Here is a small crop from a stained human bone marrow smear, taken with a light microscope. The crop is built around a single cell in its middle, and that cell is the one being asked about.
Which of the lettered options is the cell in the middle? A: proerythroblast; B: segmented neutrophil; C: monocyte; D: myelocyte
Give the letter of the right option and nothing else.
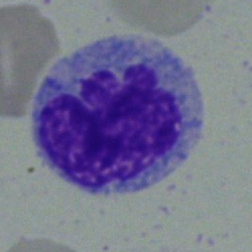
C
